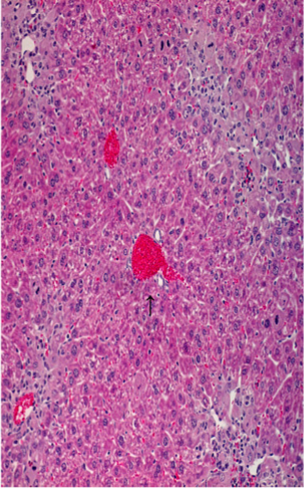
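This is liver tissue with plates of pink hepatocytes with purple nuclei. Several vessels are packed with bright red blood cells instead of being empty. In places the hepatocyte cytoplasm looks paler and less even, and small dark nuclei are scattered among the plates.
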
